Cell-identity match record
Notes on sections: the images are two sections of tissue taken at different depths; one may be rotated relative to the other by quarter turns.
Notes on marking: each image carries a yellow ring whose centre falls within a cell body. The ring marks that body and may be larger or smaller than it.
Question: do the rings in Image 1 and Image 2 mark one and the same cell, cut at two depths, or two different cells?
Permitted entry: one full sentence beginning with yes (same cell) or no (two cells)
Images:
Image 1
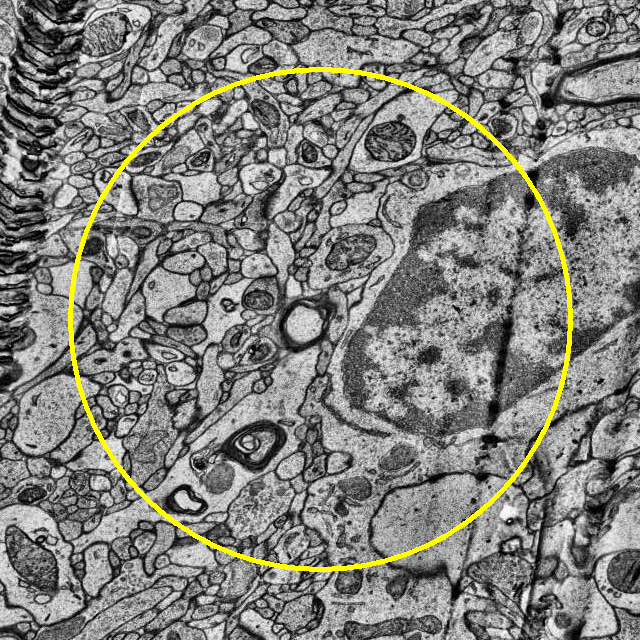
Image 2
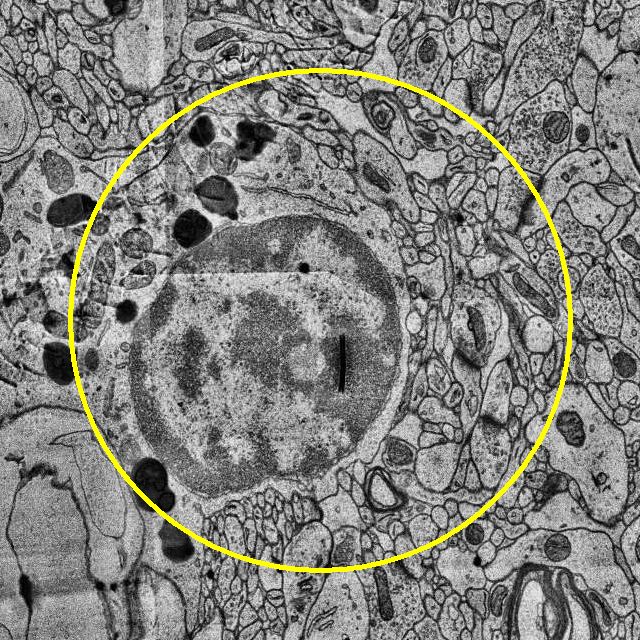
No, what the two rings mark is two different cells.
